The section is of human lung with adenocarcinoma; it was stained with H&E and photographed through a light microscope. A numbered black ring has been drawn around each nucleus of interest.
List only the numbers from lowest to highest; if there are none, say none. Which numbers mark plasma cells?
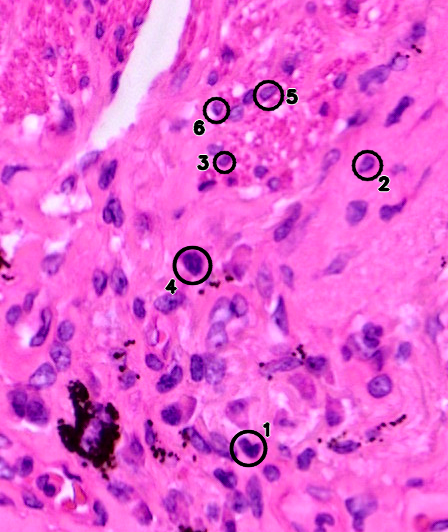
4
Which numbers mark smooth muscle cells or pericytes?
3, 5, 6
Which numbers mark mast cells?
2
